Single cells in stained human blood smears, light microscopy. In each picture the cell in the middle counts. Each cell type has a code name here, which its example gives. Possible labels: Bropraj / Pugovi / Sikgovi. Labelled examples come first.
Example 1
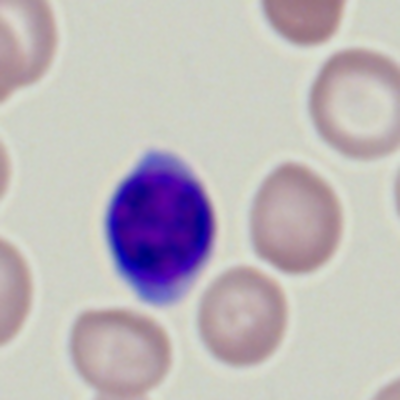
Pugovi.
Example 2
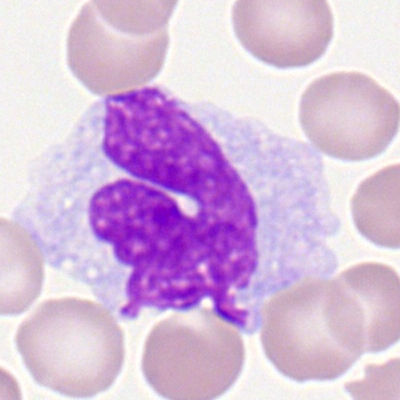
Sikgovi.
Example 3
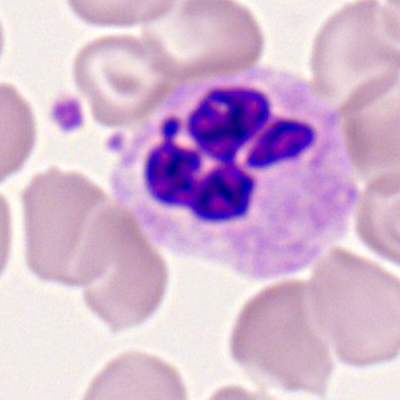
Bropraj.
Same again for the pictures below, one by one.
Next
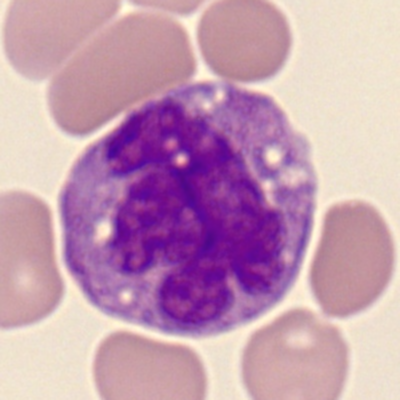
Sikgovi.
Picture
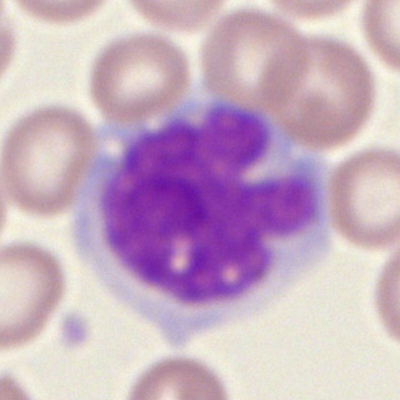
Sikgovi.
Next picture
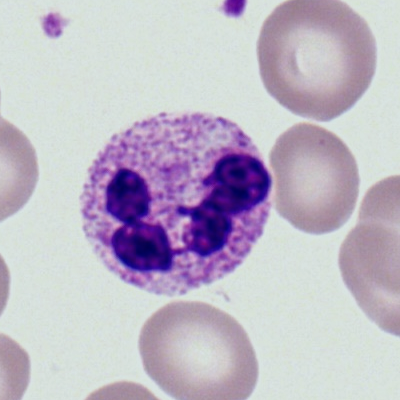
Bropraj.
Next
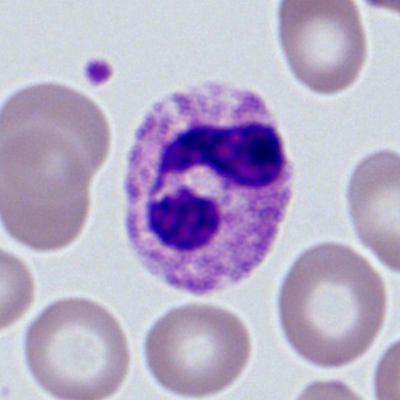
Bropraj.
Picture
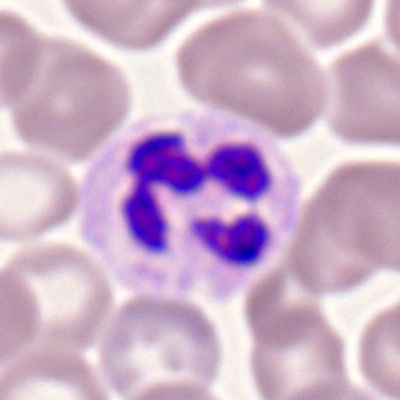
Bropraj.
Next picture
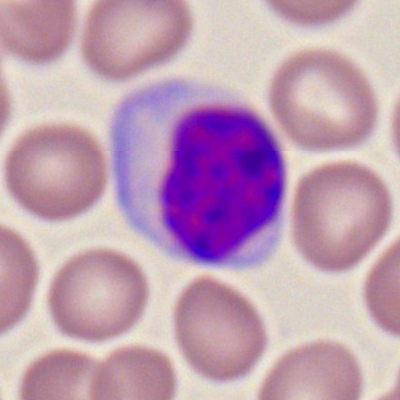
Pugovi.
